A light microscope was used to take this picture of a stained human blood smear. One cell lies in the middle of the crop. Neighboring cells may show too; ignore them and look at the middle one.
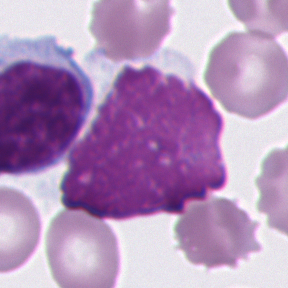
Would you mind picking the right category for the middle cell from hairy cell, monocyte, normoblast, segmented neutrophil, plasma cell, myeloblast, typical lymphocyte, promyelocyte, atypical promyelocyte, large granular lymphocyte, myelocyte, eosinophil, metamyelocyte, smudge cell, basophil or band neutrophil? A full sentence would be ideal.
In this crop, the cell at the very middle is a smudge cell.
